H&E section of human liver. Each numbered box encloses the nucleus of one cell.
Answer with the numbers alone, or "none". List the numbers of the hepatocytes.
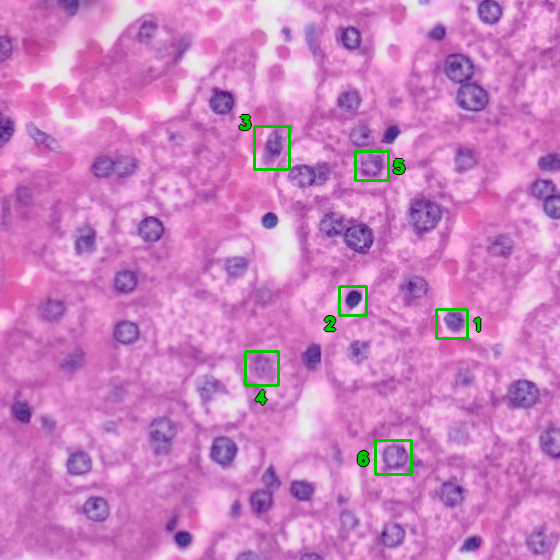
4, 5, 6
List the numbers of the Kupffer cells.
3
